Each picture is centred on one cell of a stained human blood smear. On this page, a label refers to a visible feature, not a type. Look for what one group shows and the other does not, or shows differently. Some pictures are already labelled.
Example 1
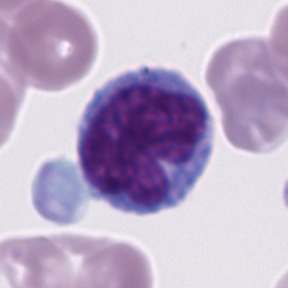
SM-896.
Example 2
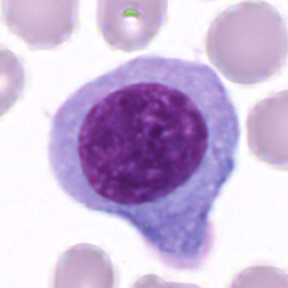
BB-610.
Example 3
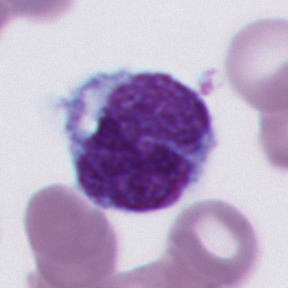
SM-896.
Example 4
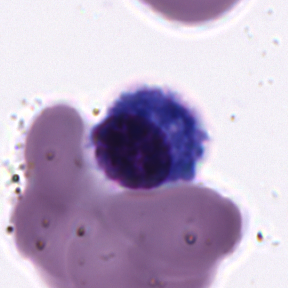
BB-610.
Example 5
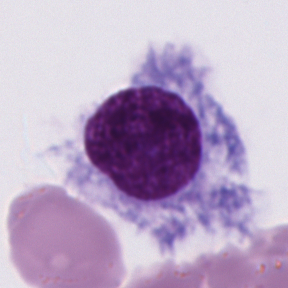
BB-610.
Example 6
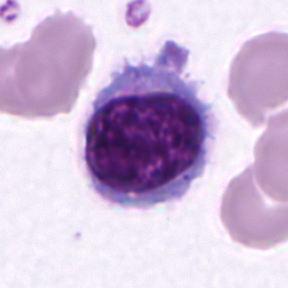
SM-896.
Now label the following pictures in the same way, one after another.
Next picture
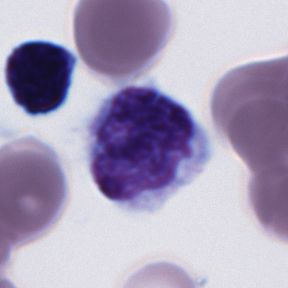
SM-896.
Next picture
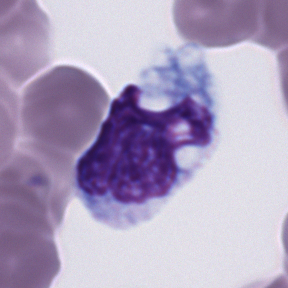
SM-896.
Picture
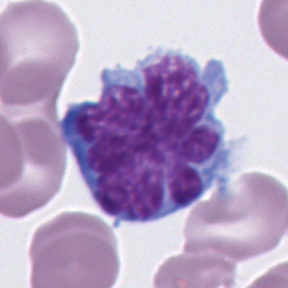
SM-896.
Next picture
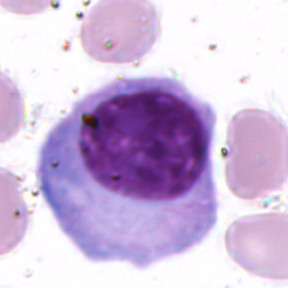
BB-610.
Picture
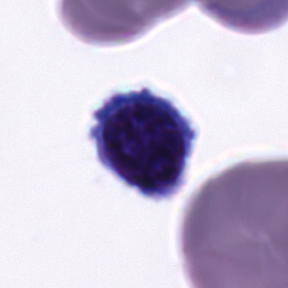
SM-896.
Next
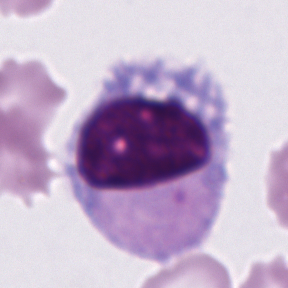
BB-610.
